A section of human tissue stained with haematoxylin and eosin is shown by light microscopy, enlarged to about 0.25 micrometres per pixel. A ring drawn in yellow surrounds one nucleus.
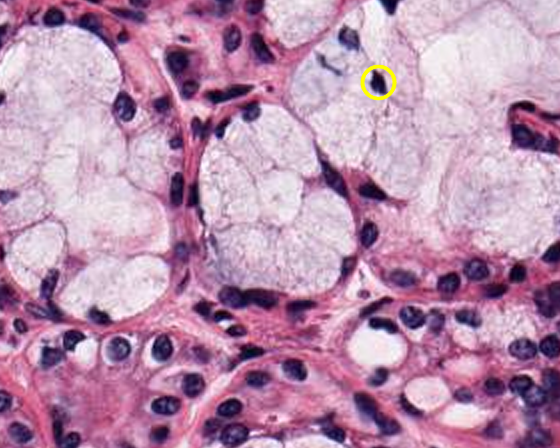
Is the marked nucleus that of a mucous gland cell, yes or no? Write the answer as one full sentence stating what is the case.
Yes, the marked nucleus is a nucleus of a mucous gland cell.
